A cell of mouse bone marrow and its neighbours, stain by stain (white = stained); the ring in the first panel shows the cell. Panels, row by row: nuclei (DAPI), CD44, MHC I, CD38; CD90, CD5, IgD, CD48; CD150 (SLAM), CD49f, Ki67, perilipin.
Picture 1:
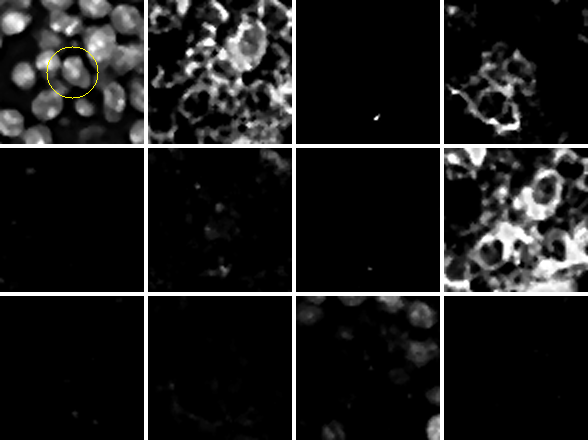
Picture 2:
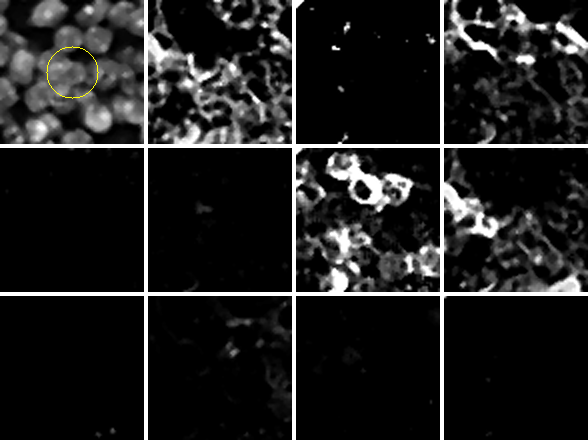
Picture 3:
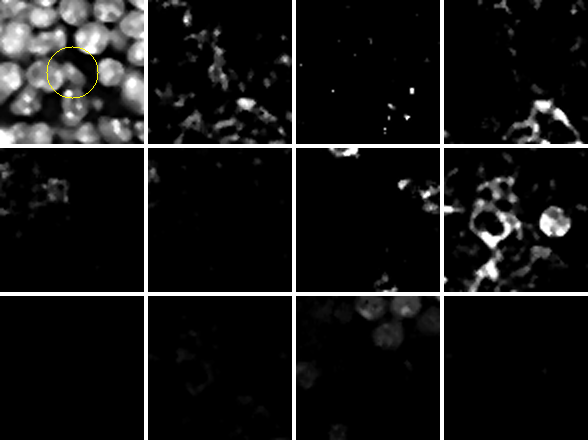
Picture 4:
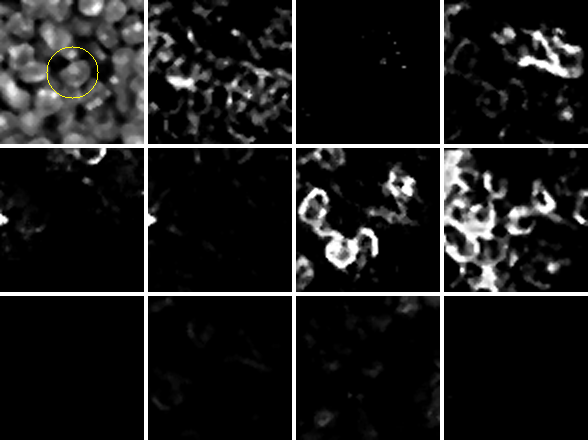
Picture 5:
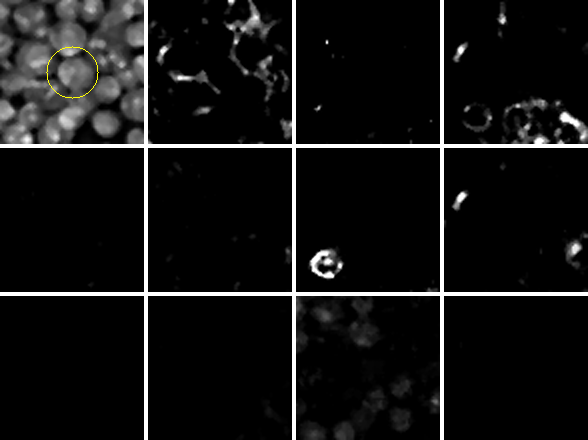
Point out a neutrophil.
That is picture 3.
